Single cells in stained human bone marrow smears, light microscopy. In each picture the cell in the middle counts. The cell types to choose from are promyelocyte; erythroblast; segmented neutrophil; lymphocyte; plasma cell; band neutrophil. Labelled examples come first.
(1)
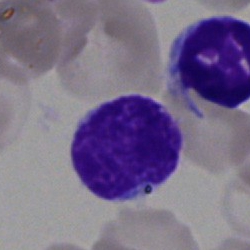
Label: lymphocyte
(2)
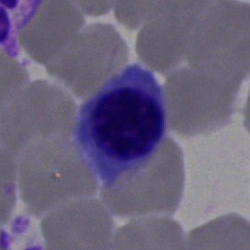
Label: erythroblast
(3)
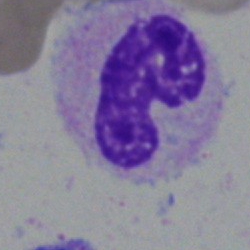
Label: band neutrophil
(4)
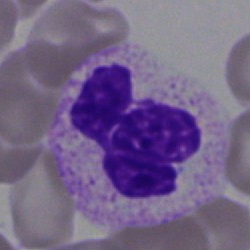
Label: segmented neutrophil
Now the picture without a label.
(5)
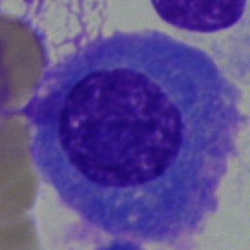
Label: plasma cell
